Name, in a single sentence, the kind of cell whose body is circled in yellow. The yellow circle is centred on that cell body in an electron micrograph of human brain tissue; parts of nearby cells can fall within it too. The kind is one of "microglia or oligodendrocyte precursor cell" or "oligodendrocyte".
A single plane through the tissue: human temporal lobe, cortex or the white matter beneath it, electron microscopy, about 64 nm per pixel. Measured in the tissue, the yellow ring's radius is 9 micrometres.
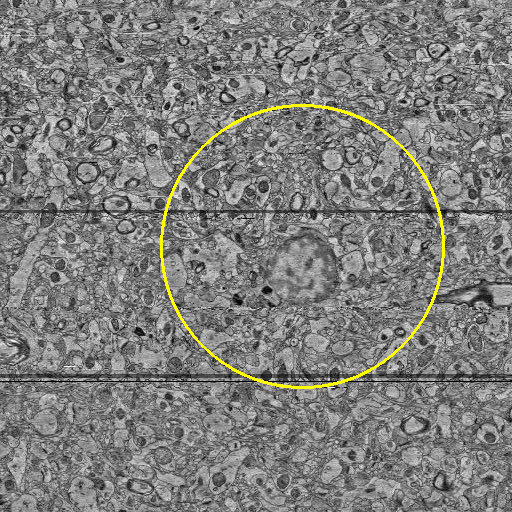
The circled cell body belongs to an oligodendrocyte.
